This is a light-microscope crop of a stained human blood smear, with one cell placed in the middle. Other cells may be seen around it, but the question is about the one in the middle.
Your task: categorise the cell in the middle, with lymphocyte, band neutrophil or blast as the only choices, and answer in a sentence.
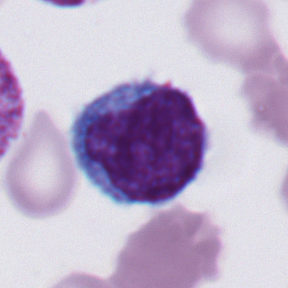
Occupying the centre of the crop is a lymphocyte.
